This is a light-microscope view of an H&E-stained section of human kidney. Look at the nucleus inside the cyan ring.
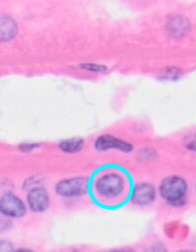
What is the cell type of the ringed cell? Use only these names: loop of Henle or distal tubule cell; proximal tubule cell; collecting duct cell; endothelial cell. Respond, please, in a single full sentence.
For cell typing purposes, the ringed cell is a collecting duct cell.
